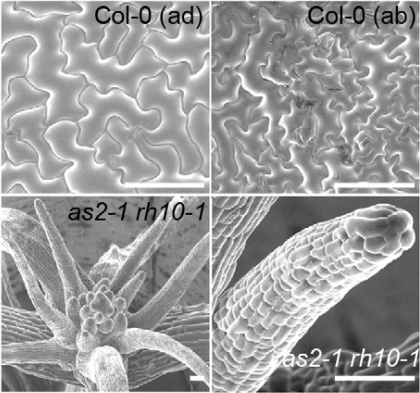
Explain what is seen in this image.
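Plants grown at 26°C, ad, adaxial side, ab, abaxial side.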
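The upper two scanning electron micrographs show leaf epidermal cells seen from the surface, packed edge to edge with wavy, interlocking jigsaw-puzzle outlines. In the lower left image, the shoot apex shows a cluster of small, rounded, bulging outgrowths. Long, narrow, cylindrical organs radiate from around this cluster.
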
